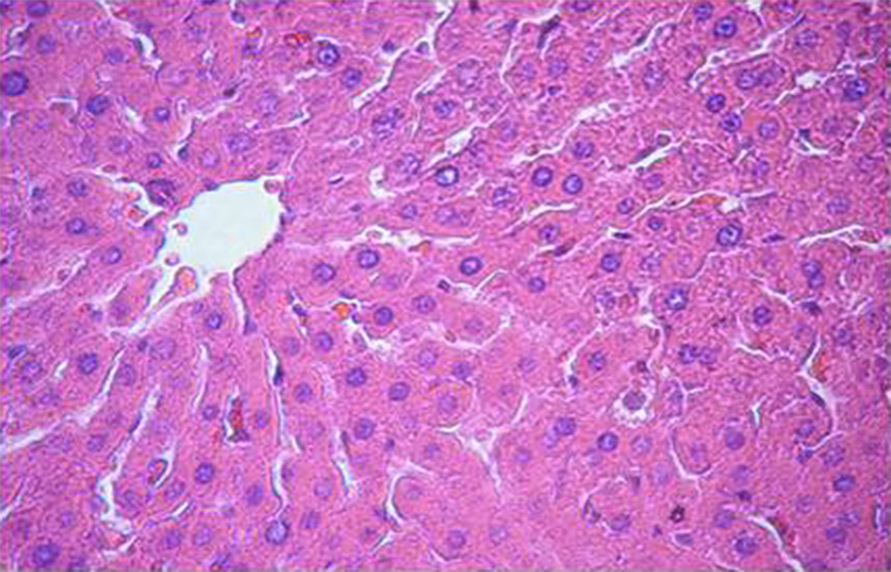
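This is liver tissue in which hepatocytes form cords that radiate outward from a central vein, visible as the rounded empty lumen on the left. The hepatocytes are large polygonal cells with plentiful pink cytoplasm and round, centrally placed purple nuclei, several showing a distinct nucleolus, and a few cells carry two nuclei. The cords branch and join one another, separated by narrow pale channels, the sinusoids, some of which hold red blood cells. Flattened lining cells with thin dark nuclei lie along the sinusoid walls. The architecture appears orderly, with no obvious damage to the cells.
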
